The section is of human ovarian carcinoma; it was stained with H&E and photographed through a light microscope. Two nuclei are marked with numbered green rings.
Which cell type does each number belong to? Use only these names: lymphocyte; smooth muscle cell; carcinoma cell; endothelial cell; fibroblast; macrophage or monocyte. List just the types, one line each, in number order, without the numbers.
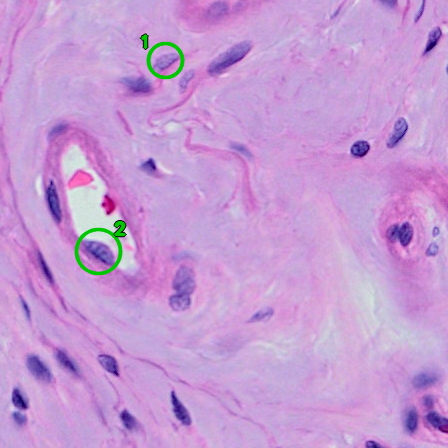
smooth muscle cell
endothelial cell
